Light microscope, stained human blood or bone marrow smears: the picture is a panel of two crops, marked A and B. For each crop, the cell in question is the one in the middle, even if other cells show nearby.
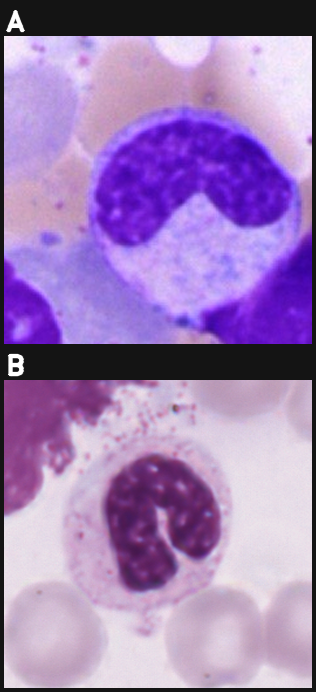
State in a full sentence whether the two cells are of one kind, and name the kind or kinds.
Yes, both crops depict band neutrophils at the centre.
